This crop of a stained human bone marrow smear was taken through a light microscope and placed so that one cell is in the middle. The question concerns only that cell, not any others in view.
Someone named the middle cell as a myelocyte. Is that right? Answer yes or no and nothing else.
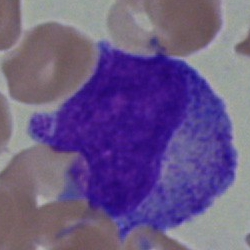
yes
